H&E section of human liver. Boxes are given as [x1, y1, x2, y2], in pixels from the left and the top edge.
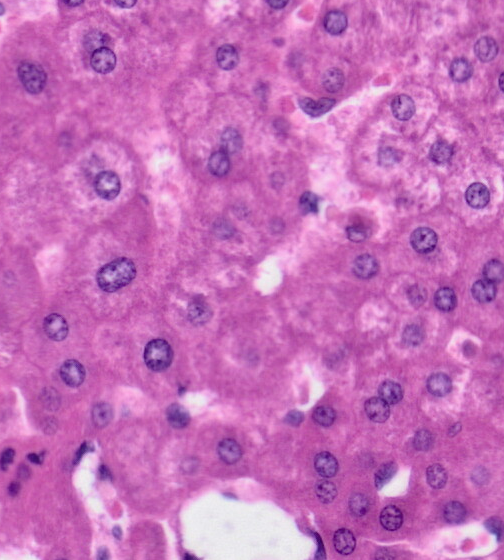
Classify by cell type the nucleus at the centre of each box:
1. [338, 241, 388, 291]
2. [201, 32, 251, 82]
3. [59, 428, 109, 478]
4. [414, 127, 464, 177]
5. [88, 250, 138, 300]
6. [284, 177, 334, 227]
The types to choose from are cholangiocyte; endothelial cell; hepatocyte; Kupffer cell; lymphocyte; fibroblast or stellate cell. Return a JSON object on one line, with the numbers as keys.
{"1": "hepatocyte", "2": "hepatocyte", "3": "fibroblast or stellate cell", "4": "hepatocyte", "5": "hepatocyte", "6": "endothelial cell"}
